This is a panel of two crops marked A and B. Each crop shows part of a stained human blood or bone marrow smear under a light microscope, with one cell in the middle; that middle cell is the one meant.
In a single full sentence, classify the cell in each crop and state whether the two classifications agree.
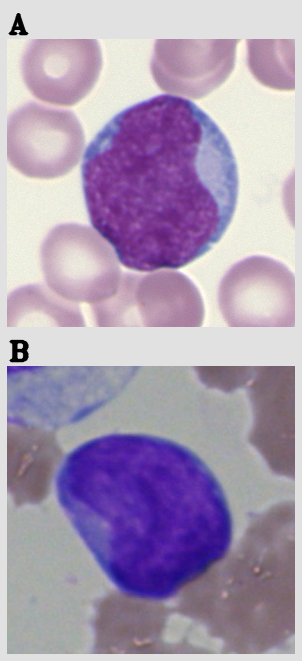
Yes, the two central cells, one per crop, are blasts.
